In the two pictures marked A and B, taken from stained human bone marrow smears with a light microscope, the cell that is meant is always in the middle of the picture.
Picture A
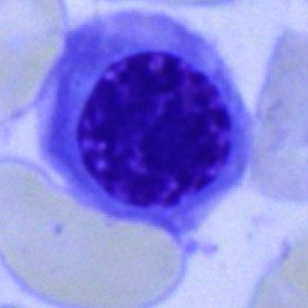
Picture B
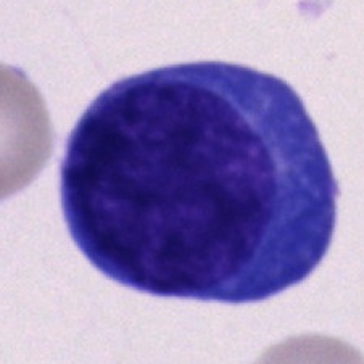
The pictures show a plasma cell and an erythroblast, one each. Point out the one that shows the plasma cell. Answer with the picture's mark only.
B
